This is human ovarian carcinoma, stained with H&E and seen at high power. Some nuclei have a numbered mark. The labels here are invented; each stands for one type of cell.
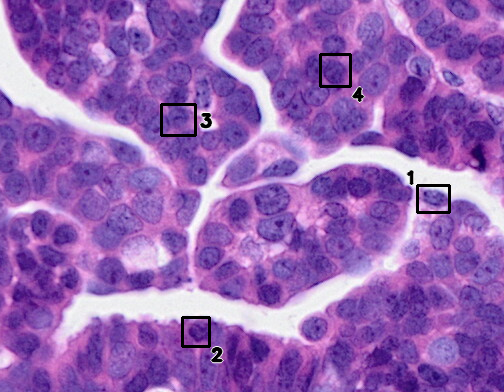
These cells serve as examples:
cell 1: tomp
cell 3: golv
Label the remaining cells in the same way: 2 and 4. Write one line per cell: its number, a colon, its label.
2: golv
4: golv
